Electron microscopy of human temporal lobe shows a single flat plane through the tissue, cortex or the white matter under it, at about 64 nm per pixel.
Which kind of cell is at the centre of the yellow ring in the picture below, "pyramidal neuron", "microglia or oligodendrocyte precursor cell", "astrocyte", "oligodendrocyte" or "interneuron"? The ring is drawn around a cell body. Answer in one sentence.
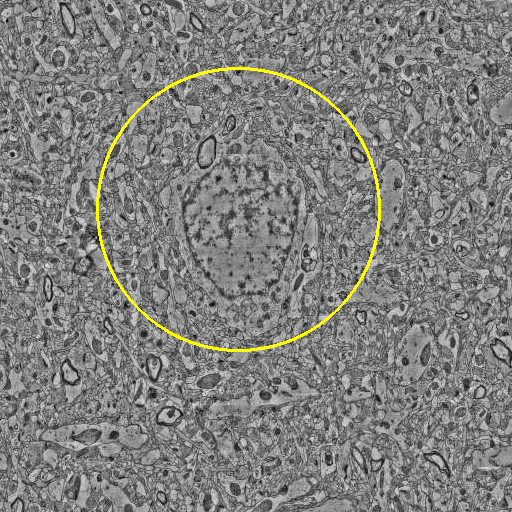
The ring's central cell is an interneuron.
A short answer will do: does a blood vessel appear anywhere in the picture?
No, no blood vessel can be seen.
